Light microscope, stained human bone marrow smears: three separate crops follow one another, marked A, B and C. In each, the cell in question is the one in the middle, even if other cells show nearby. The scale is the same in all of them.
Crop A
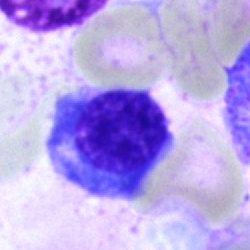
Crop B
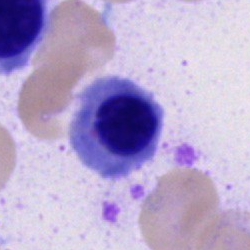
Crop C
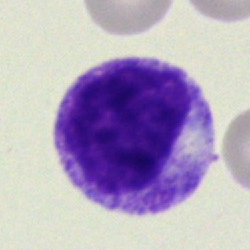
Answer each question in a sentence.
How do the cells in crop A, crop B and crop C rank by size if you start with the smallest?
Smallest first: B, A, C.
